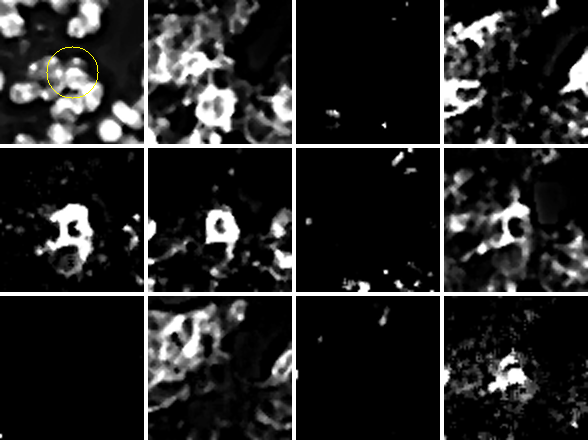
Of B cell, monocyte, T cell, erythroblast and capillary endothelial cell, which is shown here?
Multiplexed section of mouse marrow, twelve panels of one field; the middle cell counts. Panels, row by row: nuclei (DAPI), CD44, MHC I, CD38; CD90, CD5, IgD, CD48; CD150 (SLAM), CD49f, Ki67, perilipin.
T cell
